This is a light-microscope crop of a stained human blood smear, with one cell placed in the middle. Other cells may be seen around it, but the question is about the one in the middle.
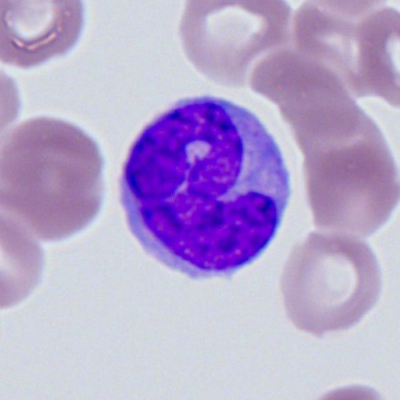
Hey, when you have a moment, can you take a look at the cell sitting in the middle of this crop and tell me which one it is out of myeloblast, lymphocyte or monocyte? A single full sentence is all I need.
The central cell shown in this smear crop is a monocyte.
